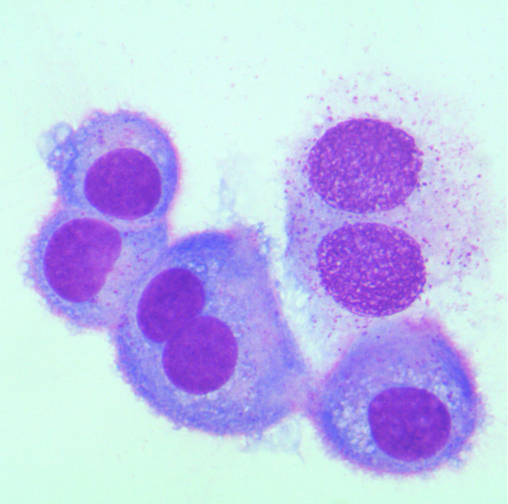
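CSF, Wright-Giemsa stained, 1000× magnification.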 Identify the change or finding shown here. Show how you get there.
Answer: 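Some cells contain two round nuclei side by side. Other cells have a single round nucleus.
Conclusion: binucleated forms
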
